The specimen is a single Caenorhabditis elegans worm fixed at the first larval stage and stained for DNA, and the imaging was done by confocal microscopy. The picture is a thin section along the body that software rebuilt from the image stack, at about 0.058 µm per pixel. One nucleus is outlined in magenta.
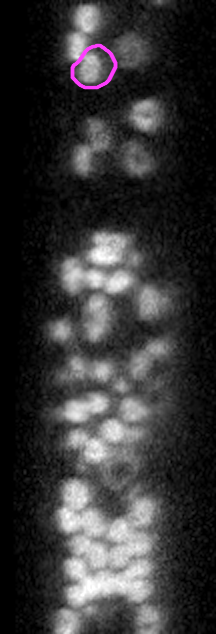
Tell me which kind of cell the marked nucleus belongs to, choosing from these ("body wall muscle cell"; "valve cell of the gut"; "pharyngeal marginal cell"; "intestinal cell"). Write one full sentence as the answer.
The marked nucleus belongs to a body wall muscle cell.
